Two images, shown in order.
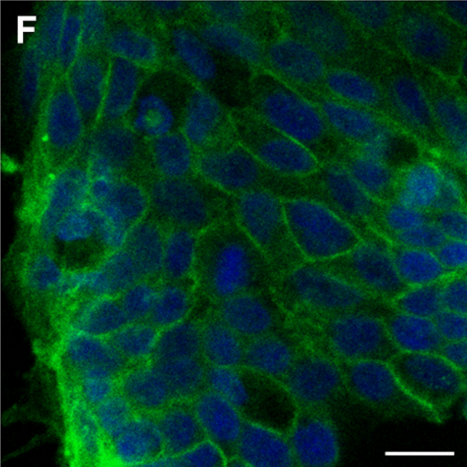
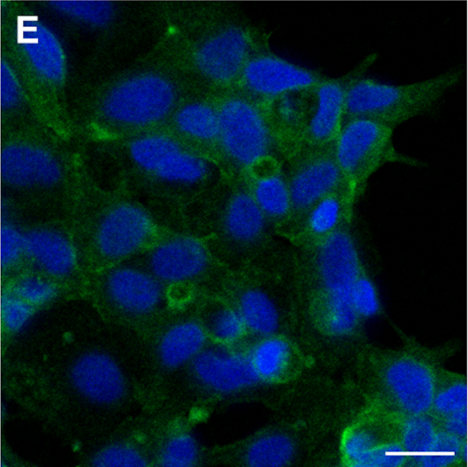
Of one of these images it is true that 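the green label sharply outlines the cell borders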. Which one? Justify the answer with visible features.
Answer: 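The first image. Second image: green is diffuse and patchy through the cytoplasm, with few continuous borders.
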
